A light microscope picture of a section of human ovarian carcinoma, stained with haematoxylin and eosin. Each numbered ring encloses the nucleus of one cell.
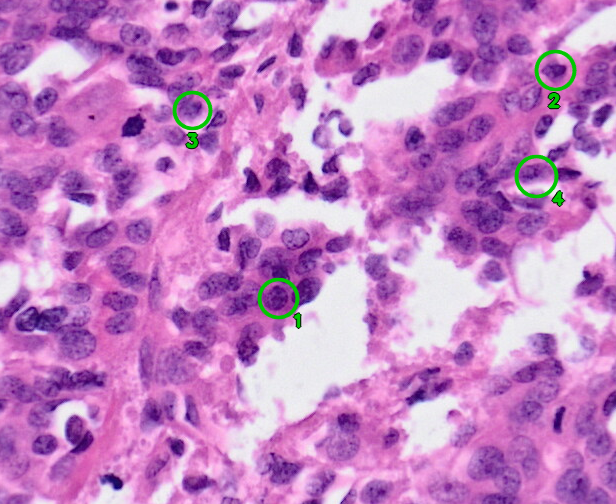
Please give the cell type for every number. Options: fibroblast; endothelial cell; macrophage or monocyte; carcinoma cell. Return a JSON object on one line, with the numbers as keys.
{"1": "carcinoma cell", "2": "macrophage or monocyte", "3": "carcinoma cell", "4": "carcinoma cell"}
